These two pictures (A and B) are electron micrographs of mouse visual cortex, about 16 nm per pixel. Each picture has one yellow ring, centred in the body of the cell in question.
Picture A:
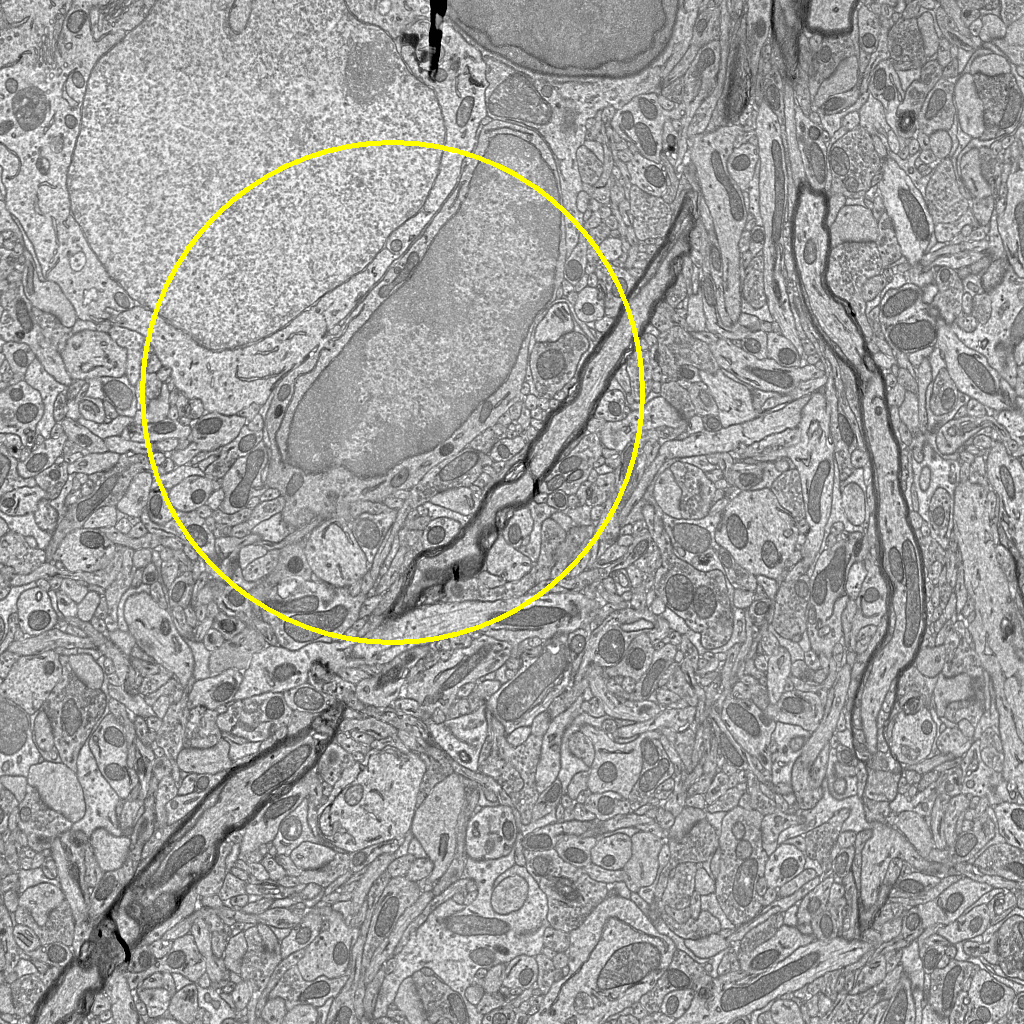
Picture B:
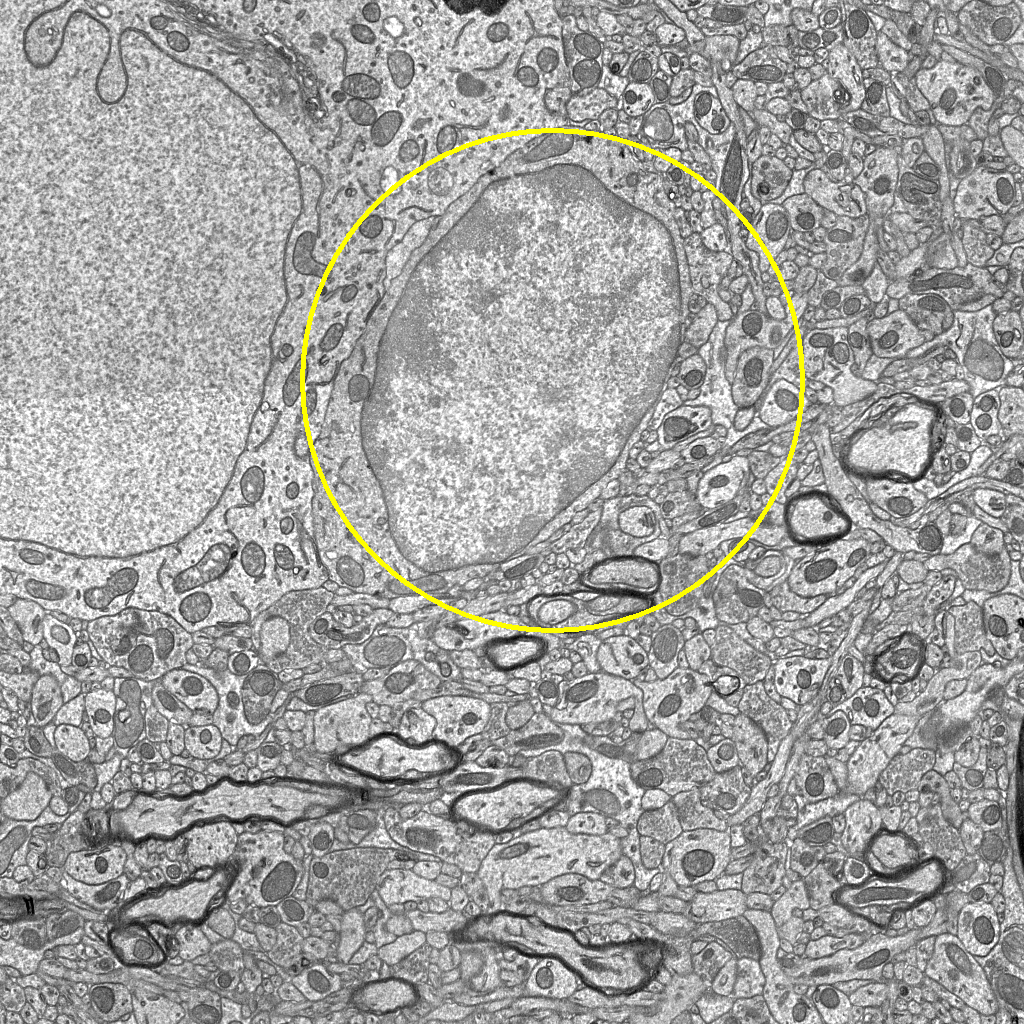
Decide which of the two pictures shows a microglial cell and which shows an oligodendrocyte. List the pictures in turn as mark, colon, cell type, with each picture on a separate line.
A: microglial cell
B: oligodendrocyte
